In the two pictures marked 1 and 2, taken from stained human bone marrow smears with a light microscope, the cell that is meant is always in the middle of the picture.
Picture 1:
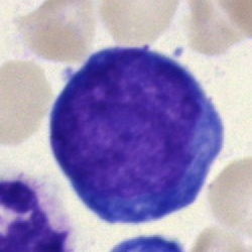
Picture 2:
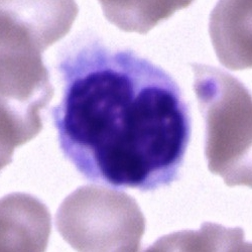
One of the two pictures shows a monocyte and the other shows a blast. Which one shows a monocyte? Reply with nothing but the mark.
2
